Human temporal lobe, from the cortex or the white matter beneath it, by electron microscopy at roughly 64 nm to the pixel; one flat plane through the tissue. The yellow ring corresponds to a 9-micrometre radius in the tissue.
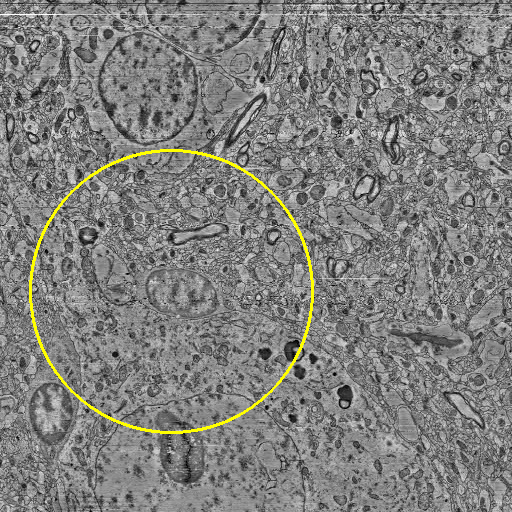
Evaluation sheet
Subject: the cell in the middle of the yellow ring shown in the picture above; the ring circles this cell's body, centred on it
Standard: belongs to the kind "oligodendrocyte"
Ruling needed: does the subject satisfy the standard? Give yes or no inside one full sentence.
Yes, the cell in the middle of the ring in the picture above belongs to the stated kind.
